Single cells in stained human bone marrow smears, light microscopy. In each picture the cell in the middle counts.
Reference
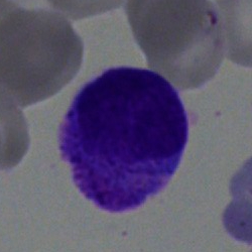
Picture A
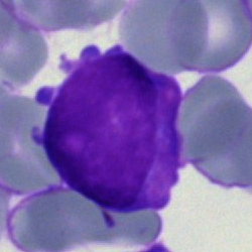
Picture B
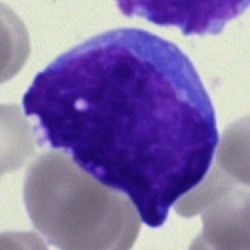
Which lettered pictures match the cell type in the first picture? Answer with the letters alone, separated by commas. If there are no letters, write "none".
A, B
